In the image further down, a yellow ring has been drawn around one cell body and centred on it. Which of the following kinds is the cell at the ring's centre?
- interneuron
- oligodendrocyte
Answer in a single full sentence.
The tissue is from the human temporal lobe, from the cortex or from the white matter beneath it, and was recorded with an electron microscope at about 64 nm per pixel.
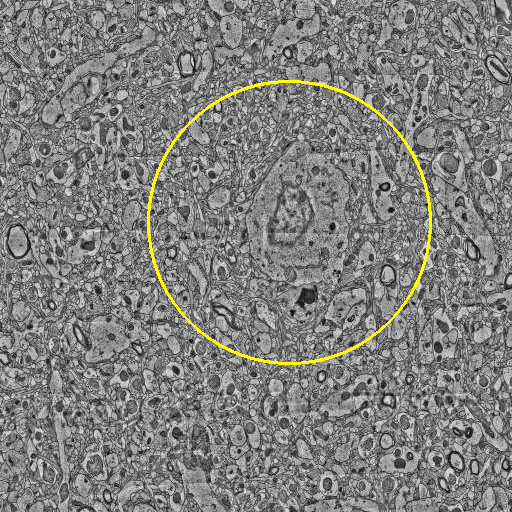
In the picture, the cell sitting at the centre of the yellow ring is an interneuron.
